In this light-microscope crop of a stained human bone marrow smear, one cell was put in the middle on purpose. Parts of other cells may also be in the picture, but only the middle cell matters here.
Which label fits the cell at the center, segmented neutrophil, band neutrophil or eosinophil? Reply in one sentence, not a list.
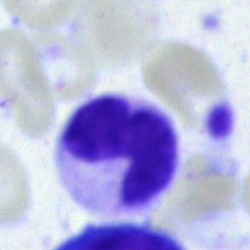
The cell found in the middle of this crop is a band neutrophil.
